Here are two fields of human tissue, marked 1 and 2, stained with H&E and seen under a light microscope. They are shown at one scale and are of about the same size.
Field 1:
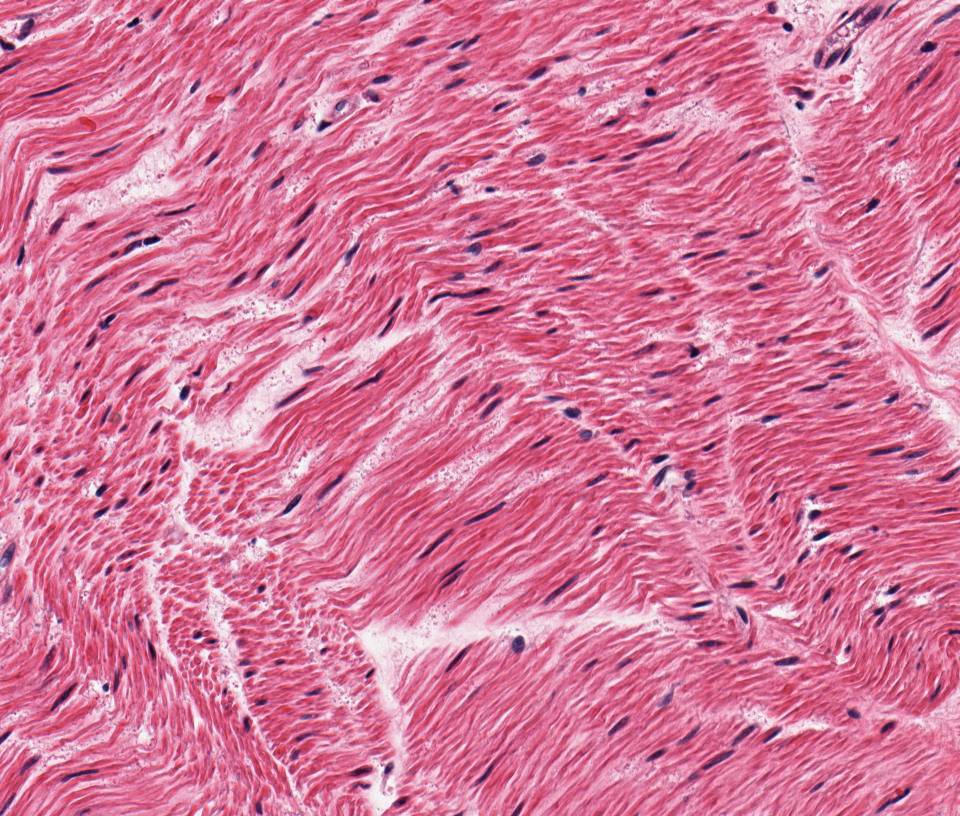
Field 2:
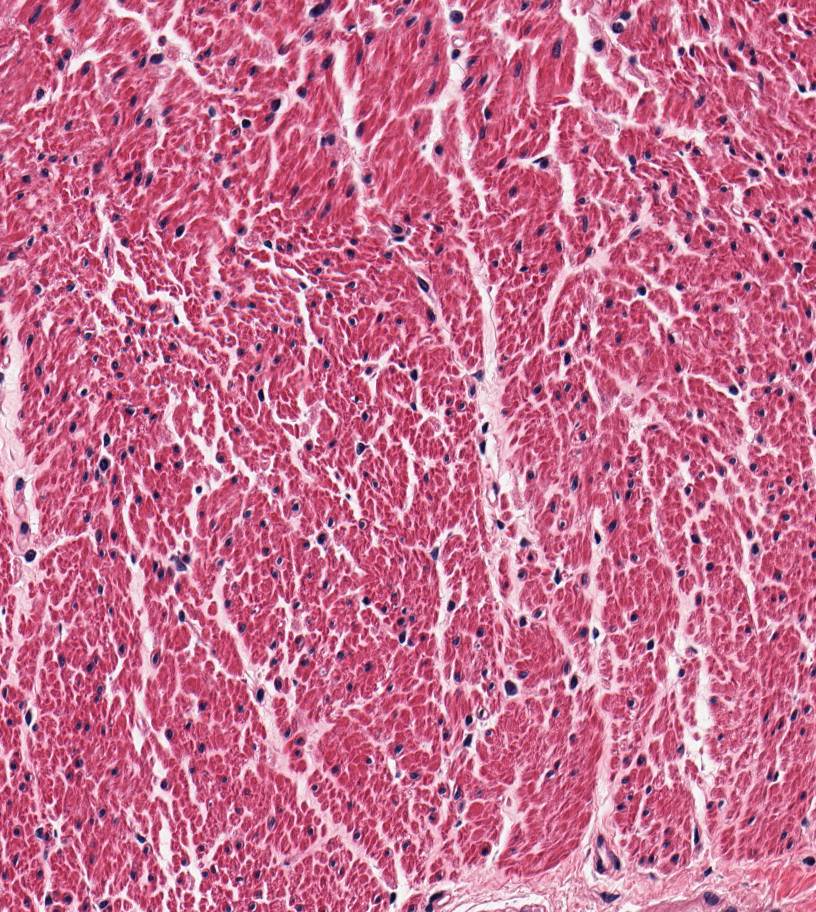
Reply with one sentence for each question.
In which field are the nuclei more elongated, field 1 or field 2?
It is field 1 whose nuclei are the more elongated.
